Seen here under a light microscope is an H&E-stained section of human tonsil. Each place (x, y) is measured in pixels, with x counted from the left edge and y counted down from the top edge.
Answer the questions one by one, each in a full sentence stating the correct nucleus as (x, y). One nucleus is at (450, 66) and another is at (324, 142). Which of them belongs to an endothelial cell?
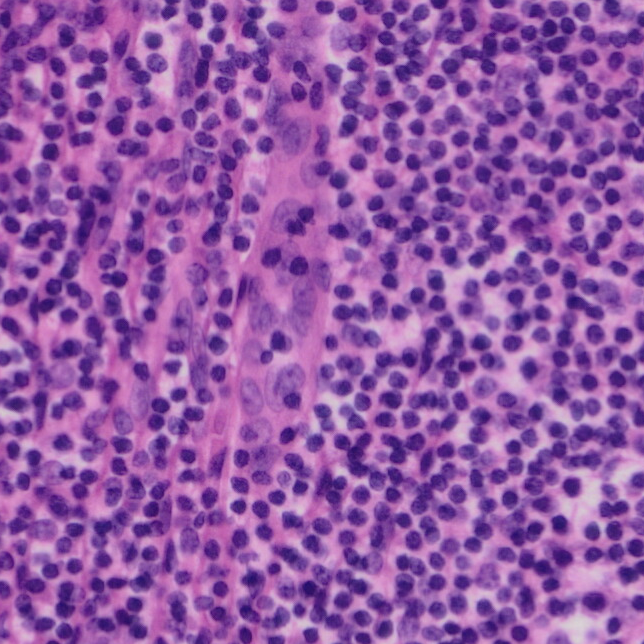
Of the two nuclei, the nucleus belonging to an endothelial cell is located at (324, 142).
